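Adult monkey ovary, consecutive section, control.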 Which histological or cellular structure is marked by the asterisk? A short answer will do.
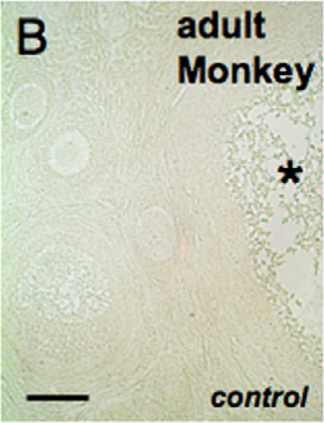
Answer: a large antral follicle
